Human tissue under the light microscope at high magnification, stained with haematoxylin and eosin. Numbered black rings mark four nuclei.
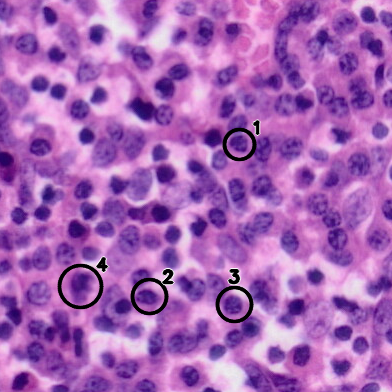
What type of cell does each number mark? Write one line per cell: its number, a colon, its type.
1: plasma cell
2: plasma cell
3: plasma cell
4: squamous epithelial cell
